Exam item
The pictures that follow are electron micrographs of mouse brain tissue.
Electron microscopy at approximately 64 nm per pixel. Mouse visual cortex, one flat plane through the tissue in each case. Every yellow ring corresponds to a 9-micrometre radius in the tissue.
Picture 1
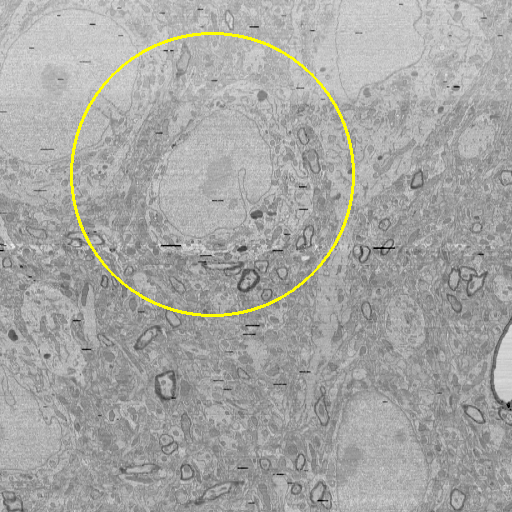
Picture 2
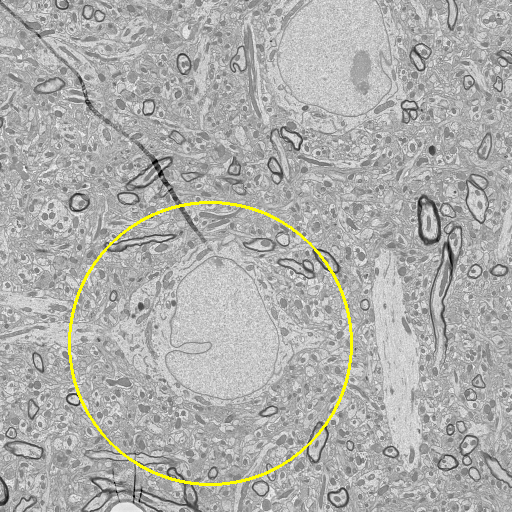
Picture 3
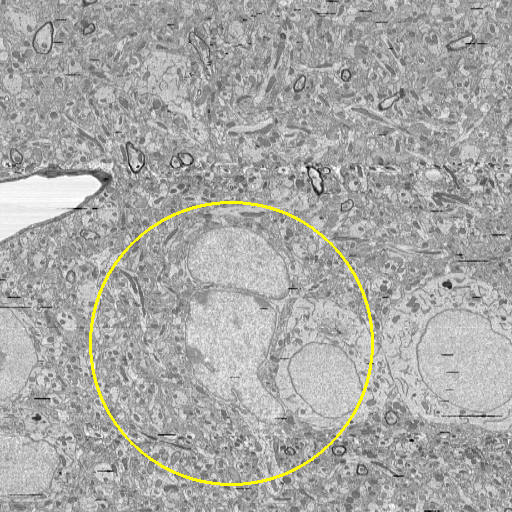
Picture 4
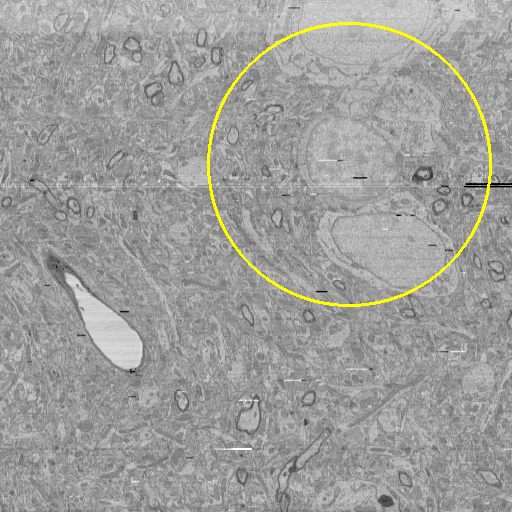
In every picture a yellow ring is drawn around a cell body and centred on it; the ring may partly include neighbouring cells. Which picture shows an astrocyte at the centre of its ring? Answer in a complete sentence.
The cell at the centre of the ring in Picture 3 is the one asked for.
